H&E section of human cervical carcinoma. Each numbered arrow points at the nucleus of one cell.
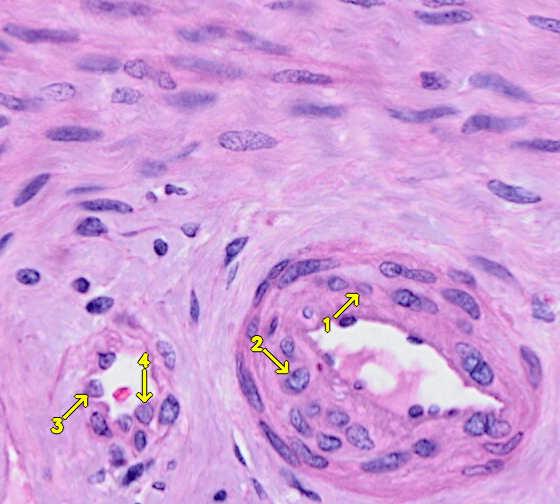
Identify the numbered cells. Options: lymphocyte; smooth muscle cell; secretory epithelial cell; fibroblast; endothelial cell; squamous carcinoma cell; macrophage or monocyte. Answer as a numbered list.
1. smooth muscle cell
2. smooth muscle cell
3. endothelial cell
4. endothelial cell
